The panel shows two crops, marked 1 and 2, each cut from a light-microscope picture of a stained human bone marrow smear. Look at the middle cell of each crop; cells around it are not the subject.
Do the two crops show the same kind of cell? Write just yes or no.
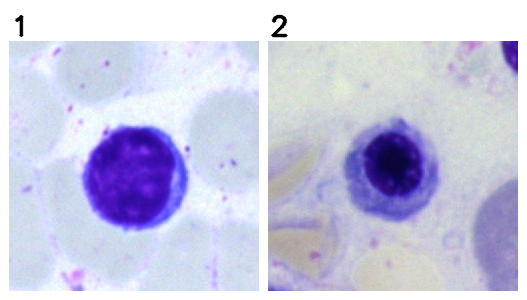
no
